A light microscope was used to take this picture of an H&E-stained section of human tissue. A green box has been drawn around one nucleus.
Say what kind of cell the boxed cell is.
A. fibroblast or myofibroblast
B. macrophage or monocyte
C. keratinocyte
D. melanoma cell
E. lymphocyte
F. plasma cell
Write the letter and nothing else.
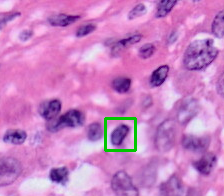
E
